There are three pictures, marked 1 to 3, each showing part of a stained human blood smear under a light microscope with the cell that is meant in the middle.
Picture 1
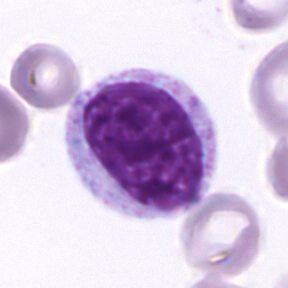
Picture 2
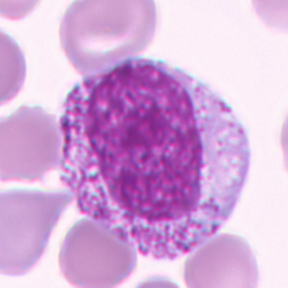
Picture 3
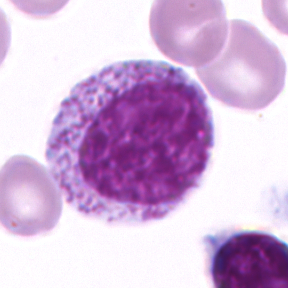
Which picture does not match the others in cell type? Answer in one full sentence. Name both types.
All pictures except 1 show myelocytes; picture 1 shows a metamyelocyte.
